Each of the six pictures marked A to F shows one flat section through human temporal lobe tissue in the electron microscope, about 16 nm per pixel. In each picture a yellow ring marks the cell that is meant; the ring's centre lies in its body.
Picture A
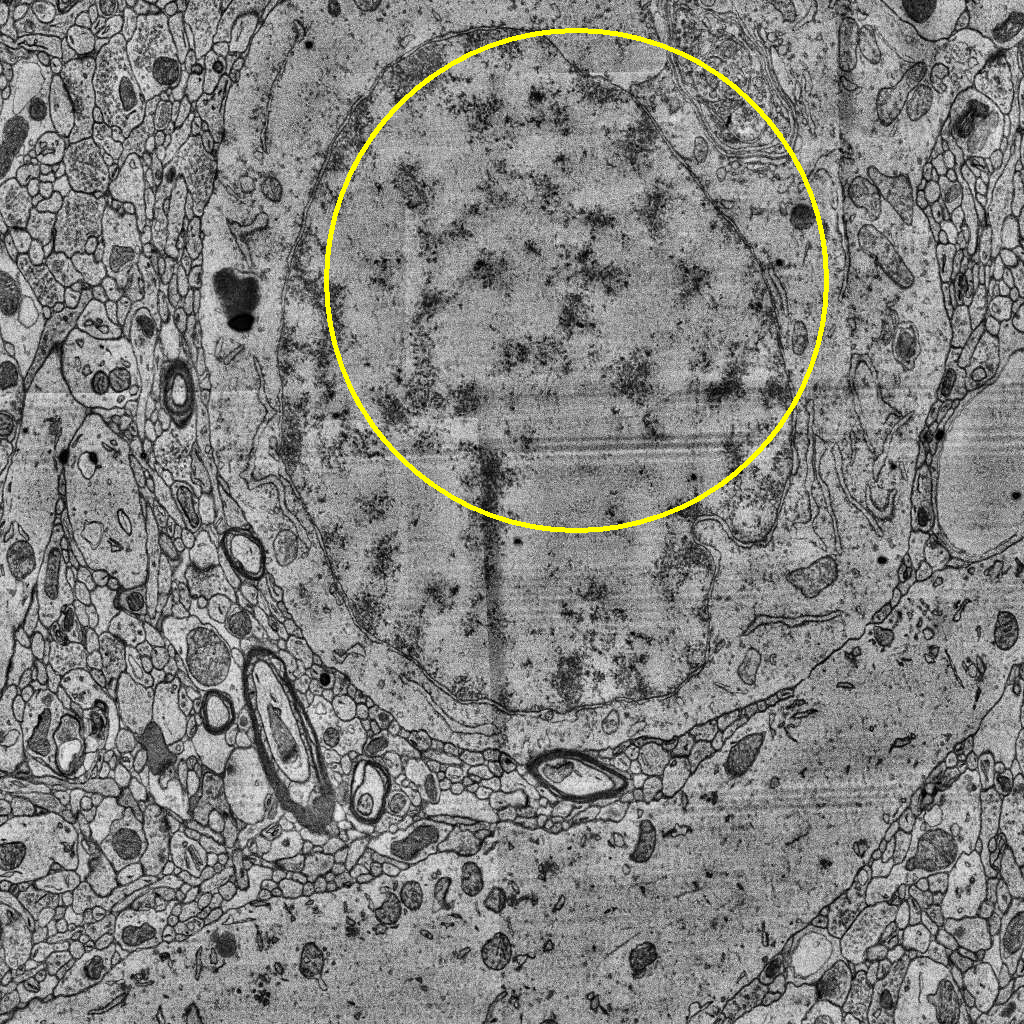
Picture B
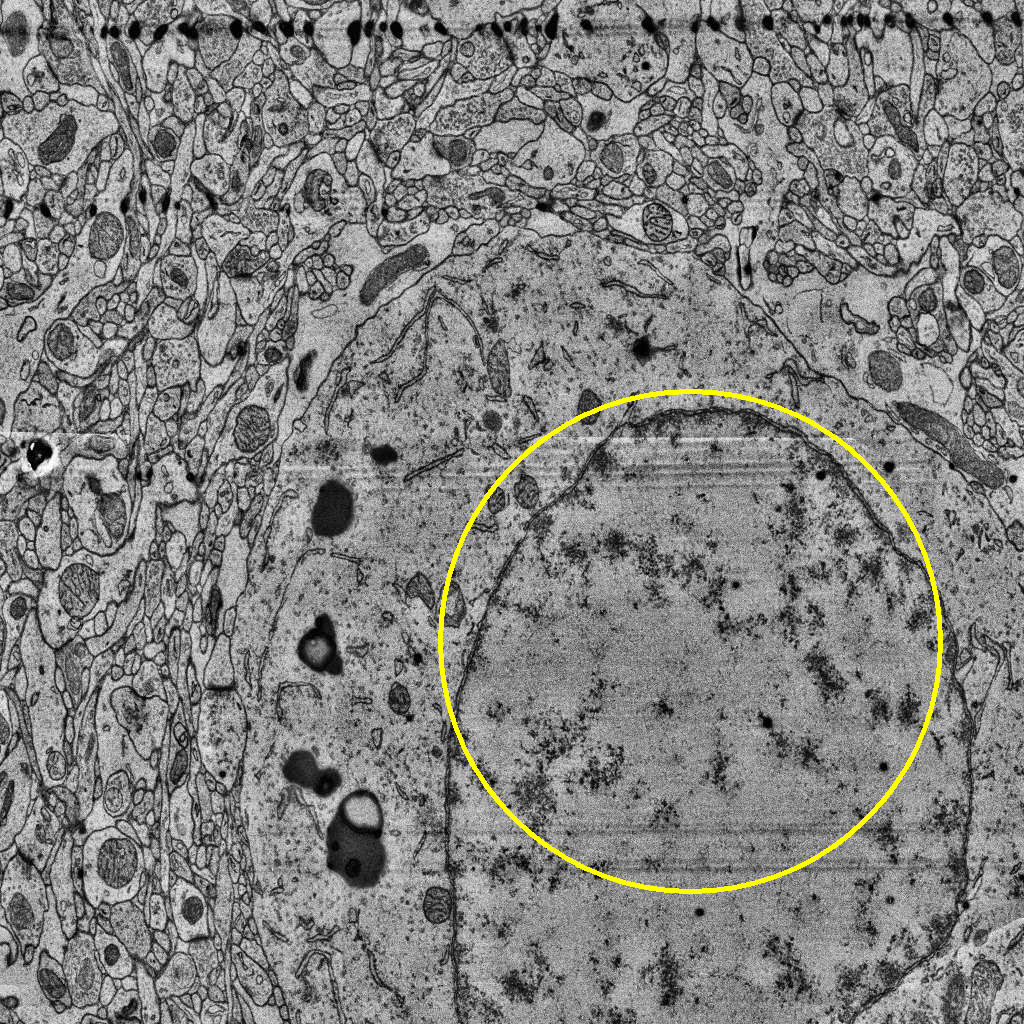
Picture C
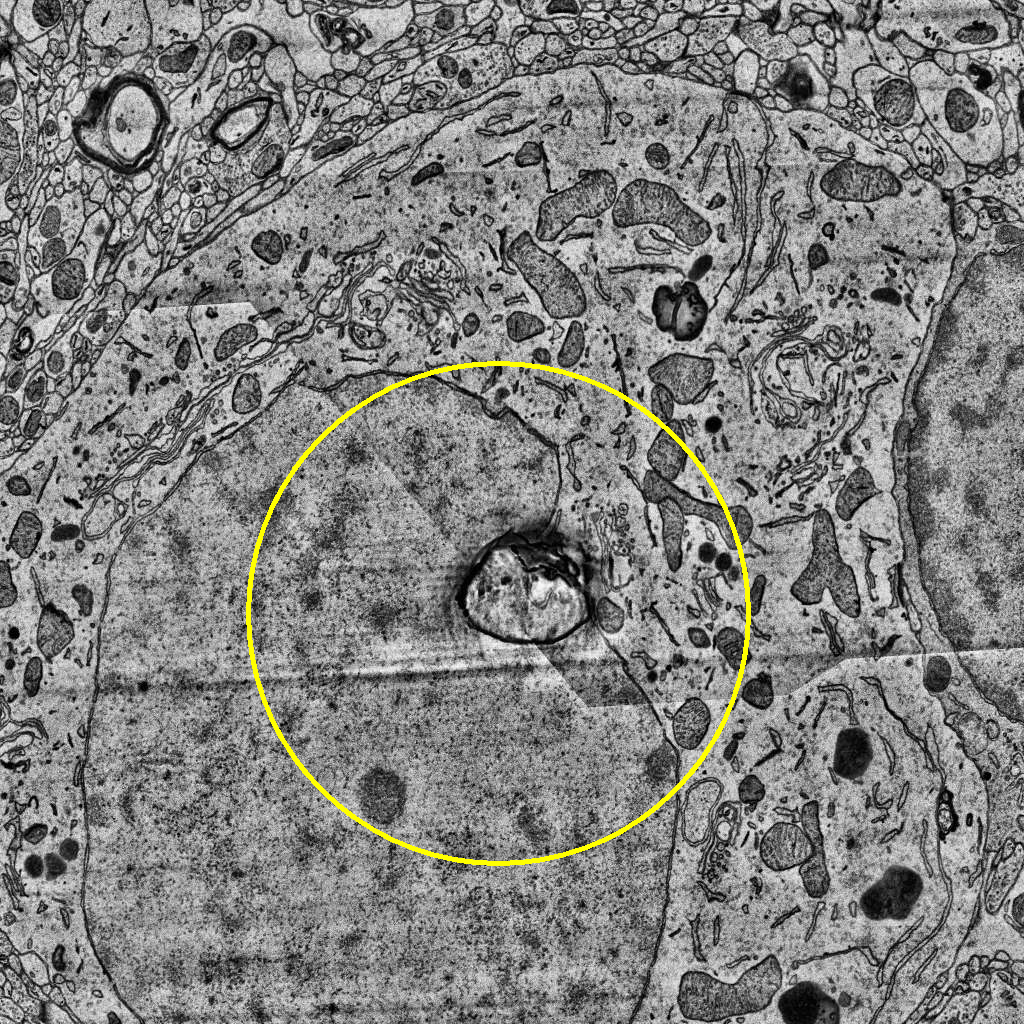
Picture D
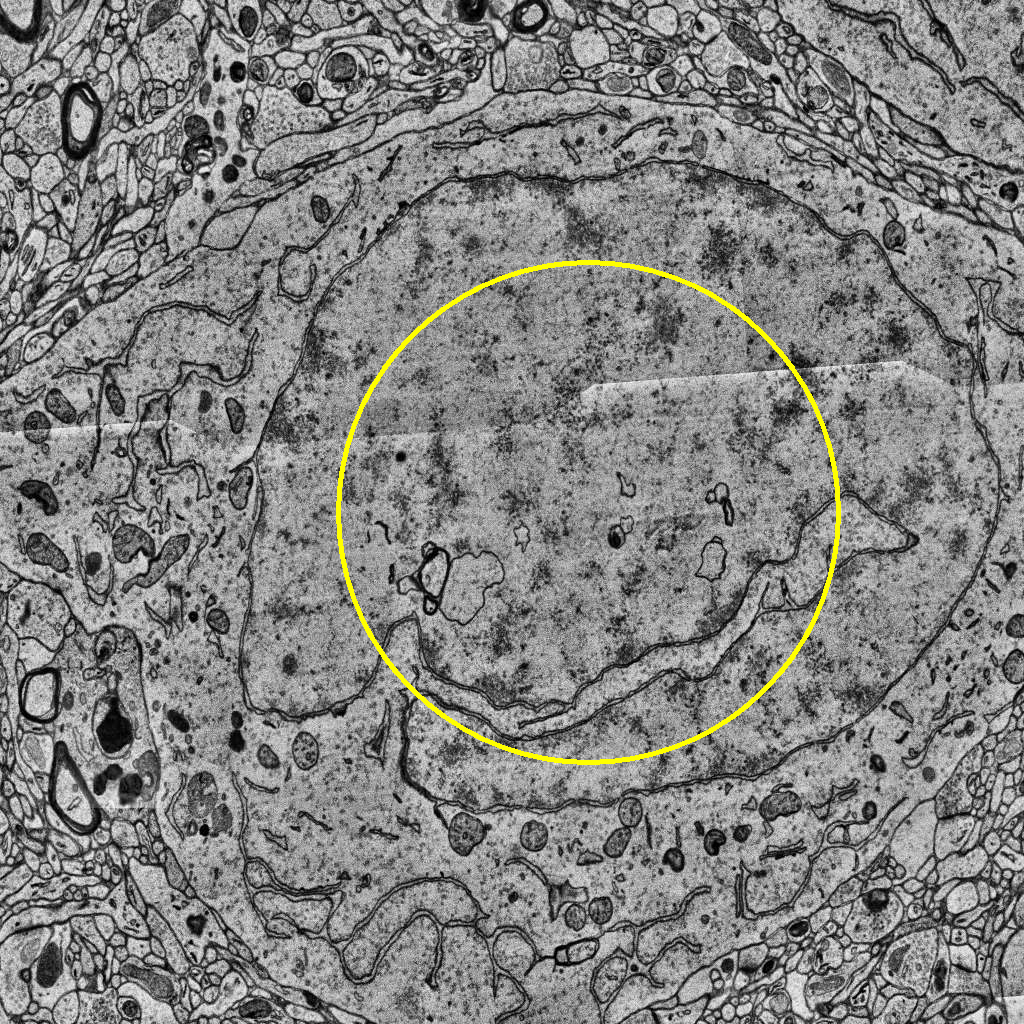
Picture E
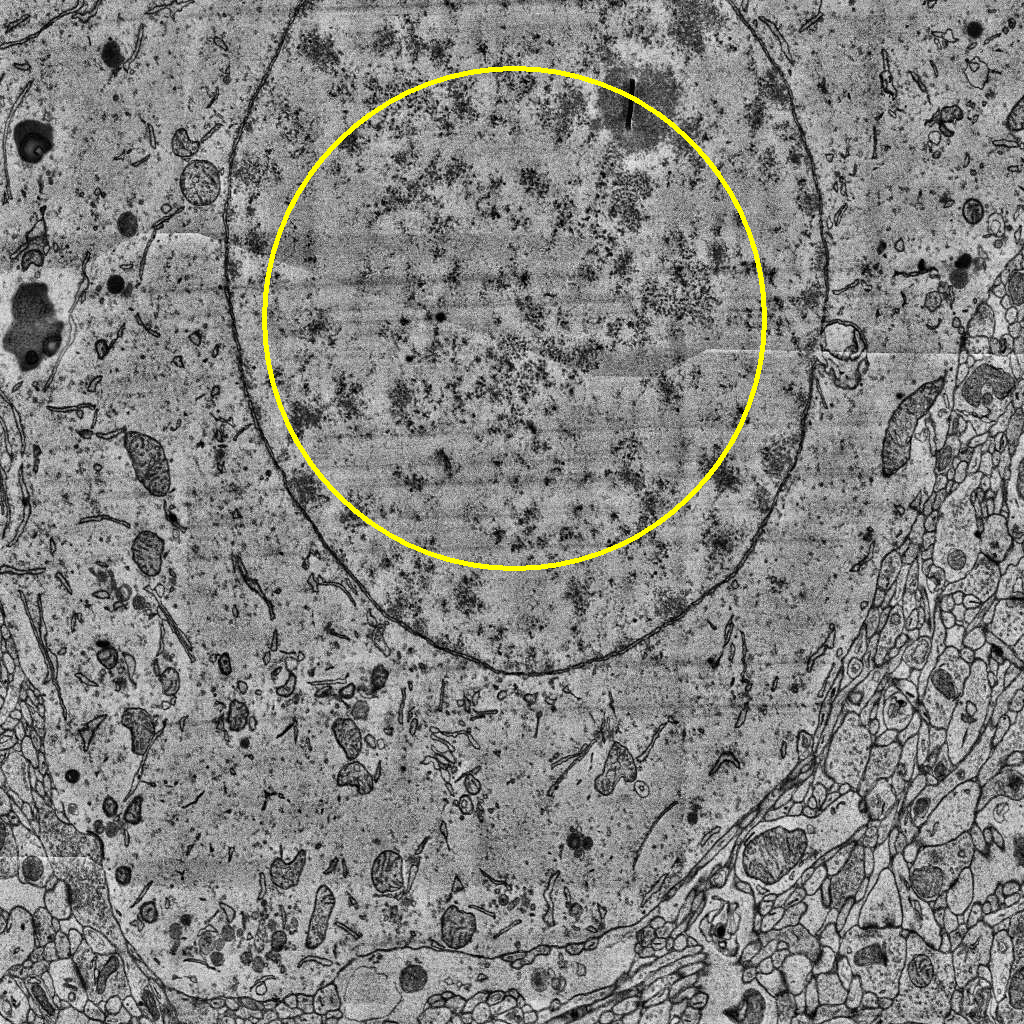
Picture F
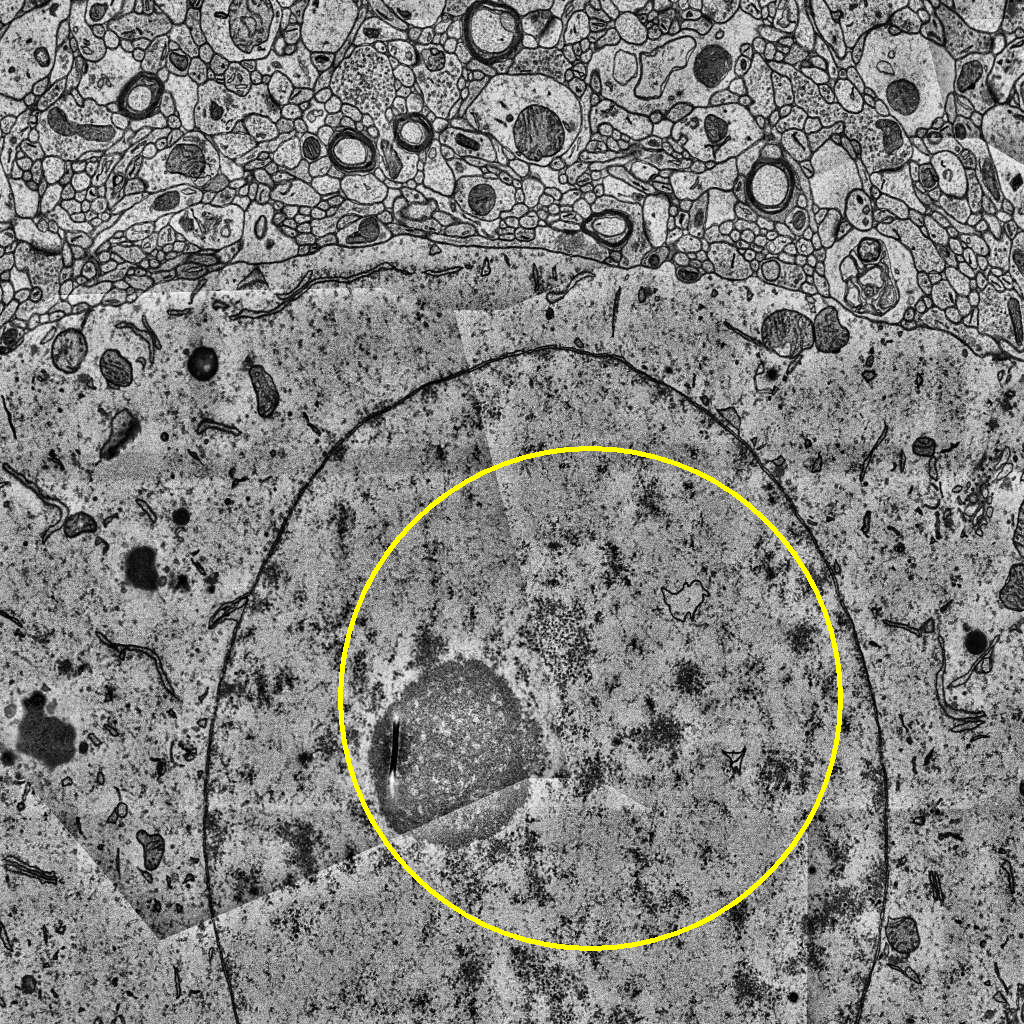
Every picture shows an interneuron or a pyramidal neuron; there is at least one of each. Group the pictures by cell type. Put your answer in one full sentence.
Pictures A, C and D show interneurons, while pictures B, E and F show pyramidal neurons.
